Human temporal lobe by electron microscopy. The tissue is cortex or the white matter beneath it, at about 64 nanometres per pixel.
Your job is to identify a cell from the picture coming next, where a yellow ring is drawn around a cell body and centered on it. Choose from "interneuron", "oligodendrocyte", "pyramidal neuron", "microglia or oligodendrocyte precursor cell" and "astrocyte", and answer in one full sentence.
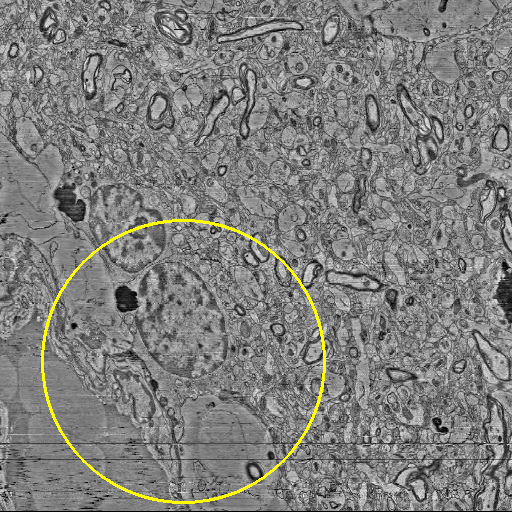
Centered in the yellow ring of the picture is the body of an oligodendrocyte.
